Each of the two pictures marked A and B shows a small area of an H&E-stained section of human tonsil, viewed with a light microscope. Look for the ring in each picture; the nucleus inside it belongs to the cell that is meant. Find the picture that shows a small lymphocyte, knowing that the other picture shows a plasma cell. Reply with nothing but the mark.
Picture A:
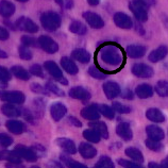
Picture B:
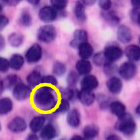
B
